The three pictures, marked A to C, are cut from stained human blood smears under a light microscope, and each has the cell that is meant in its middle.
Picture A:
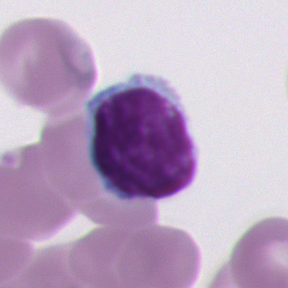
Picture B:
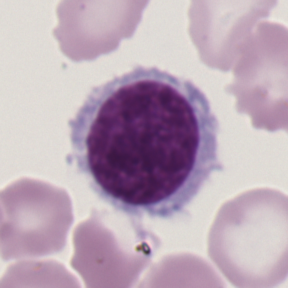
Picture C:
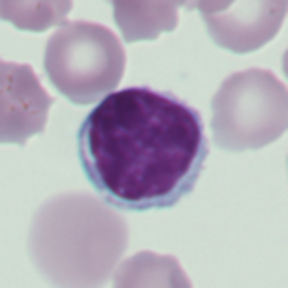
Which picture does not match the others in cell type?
B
